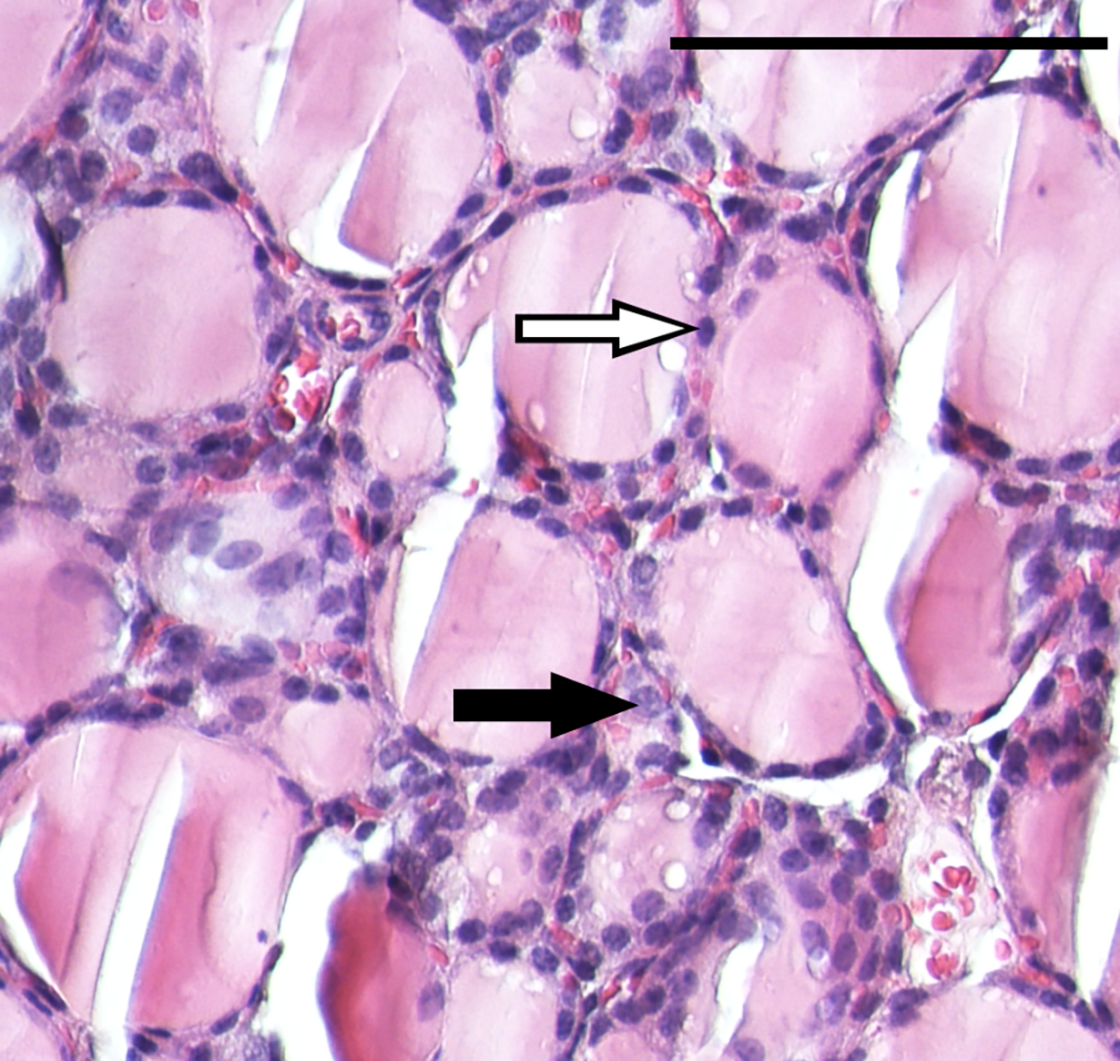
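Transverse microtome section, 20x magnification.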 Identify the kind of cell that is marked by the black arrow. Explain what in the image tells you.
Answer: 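The arrow points to a cell at the outer edge of a follicle, next to the tissue between follicles. The cell is paler than the flattened lining cells around the follicle. That points to this answer: parafollicular cells (C-cells).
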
